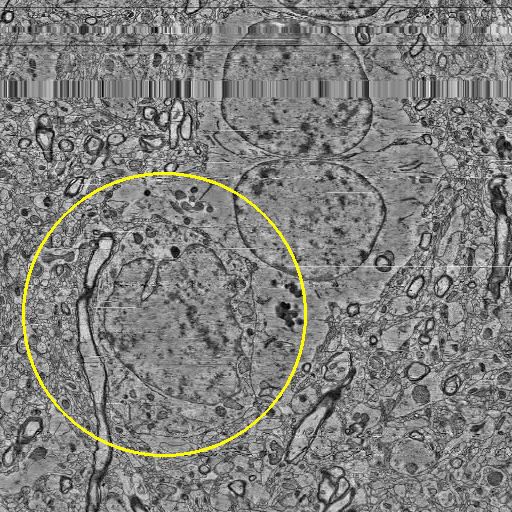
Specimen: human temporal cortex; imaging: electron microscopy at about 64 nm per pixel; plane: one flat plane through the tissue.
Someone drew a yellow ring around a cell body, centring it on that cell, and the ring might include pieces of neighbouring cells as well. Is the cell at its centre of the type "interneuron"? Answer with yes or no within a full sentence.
Yes, within the picture, the cell the ring is centred on qualifies as that type.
